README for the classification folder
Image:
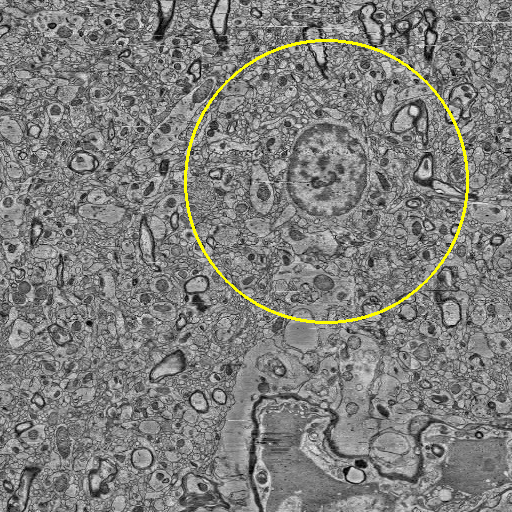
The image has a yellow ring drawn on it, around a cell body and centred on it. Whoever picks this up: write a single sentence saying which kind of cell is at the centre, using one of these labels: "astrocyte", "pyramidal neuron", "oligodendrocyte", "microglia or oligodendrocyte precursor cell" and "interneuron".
This cell body is that of an oligodendrocyte.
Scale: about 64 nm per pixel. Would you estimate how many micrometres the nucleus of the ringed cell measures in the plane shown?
The nucleus has a long axis of about 6 micrometres and a short axis of about 5 micrometres in this plane.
